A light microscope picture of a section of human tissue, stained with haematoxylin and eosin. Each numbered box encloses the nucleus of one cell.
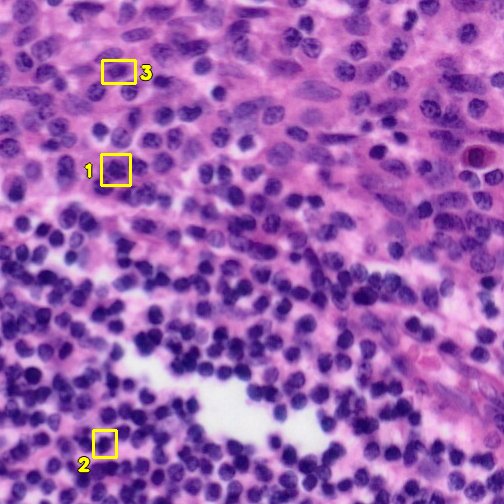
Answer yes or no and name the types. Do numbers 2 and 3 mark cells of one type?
No, cell 2 is a small lymphocyte and cell 3 is a squamous epithelial cell.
